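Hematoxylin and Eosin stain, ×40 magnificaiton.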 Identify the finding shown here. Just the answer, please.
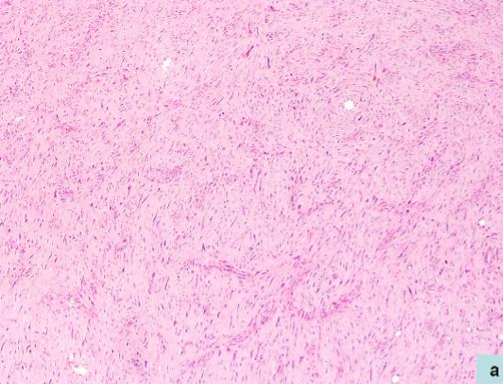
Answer: Spindle cell tumour with interspersed hypocellular areas.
